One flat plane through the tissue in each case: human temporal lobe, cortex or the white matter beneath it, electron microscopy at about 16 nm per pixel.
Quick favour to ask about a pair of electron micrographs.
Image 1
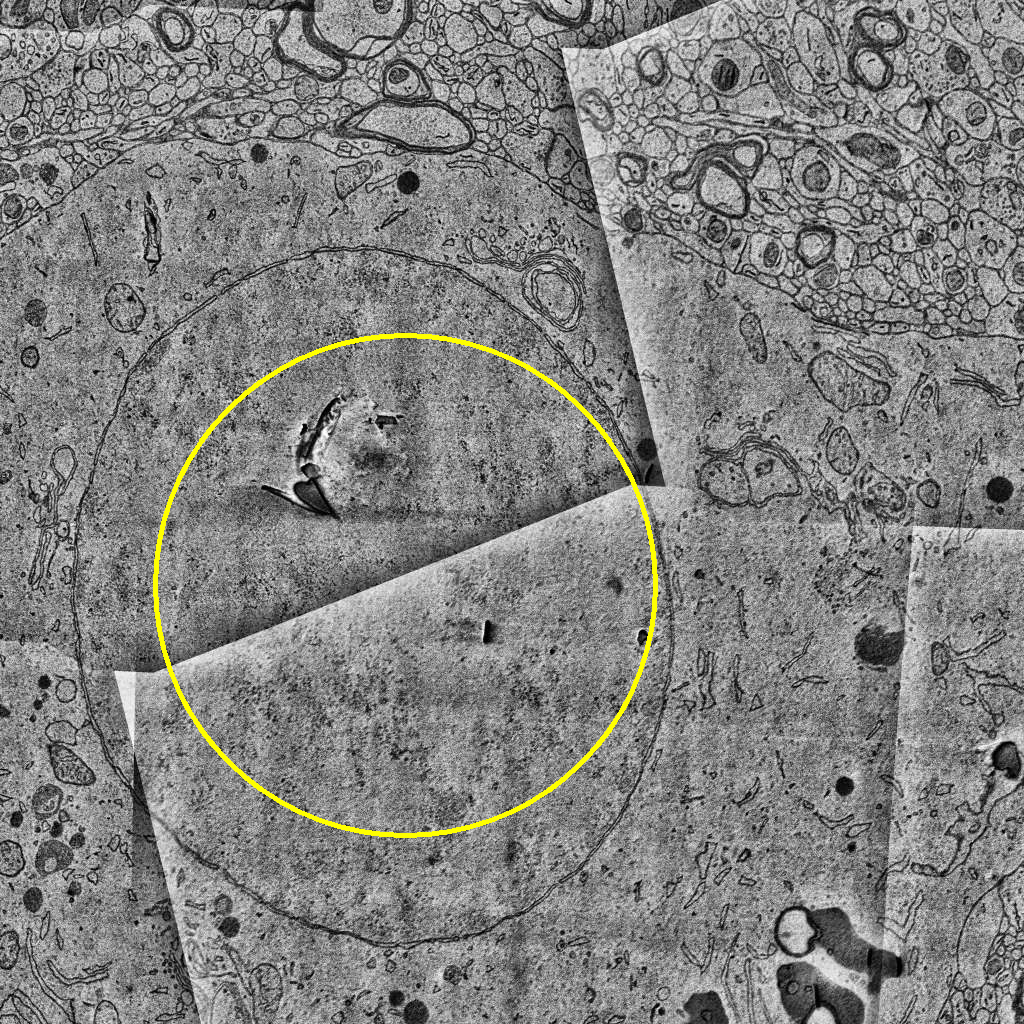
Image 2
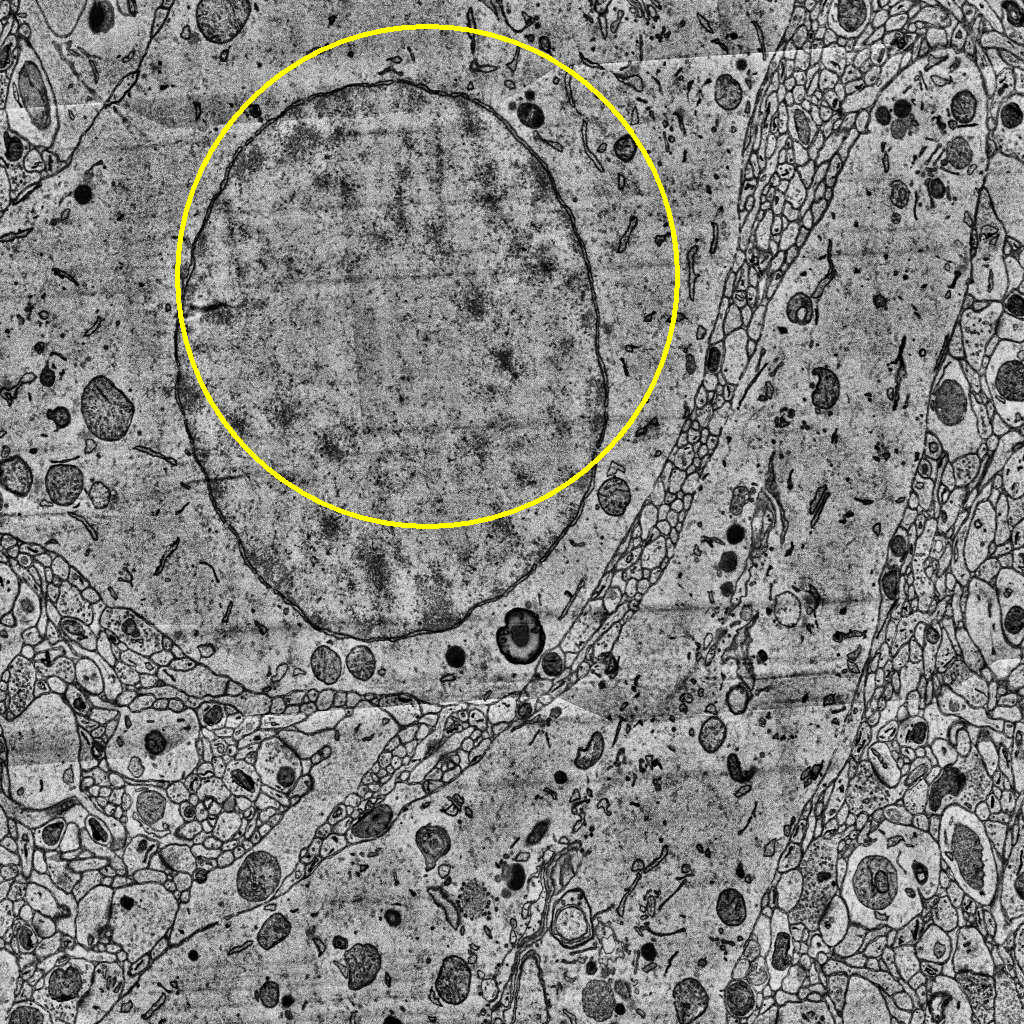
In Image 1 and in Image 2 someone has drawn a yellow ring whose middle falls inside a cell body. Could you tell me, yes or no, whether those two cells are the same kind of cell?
yes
